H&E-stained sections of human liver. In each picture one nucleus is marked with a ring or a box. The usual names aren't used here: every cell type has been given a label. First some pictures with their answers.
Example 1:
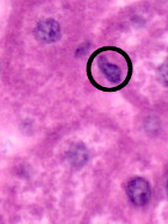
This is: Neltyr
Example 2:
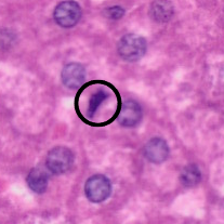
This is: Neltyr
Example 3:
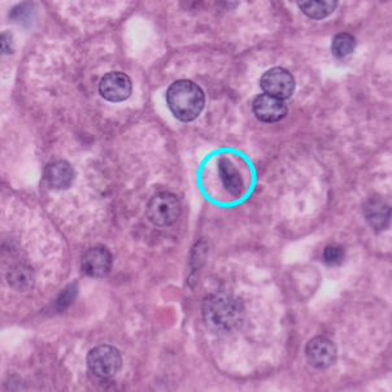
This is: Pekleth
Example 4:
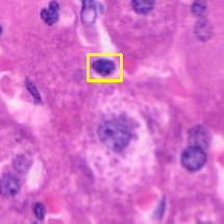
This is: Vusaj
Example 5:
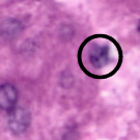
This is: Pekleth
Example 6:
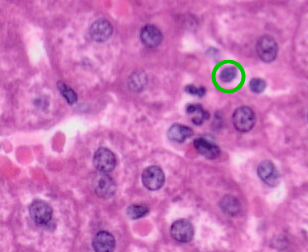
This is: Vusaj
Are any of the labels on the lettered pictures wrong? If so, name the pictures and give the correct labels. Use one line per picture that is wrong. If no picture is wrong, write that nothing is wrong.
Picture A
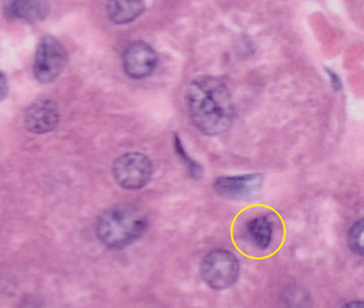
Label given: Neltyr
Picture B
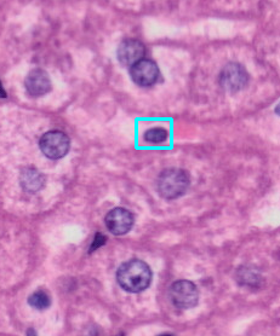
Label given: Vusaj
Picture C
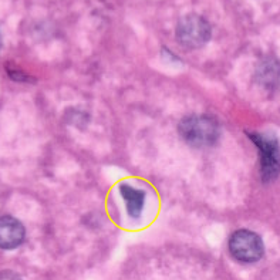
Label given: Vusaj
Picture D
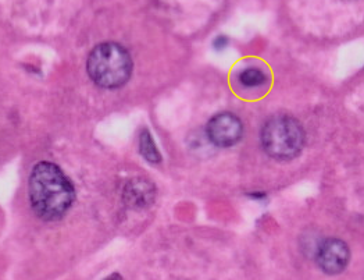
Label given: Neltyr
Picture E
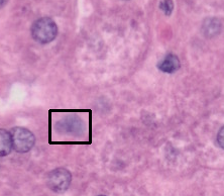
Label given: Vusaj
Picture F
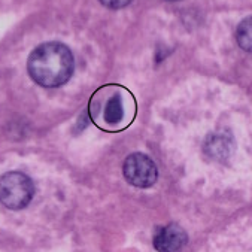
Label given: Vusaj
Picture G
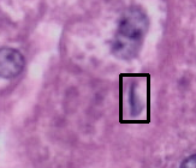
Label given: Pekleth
E: not Vusaj but Pekleth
